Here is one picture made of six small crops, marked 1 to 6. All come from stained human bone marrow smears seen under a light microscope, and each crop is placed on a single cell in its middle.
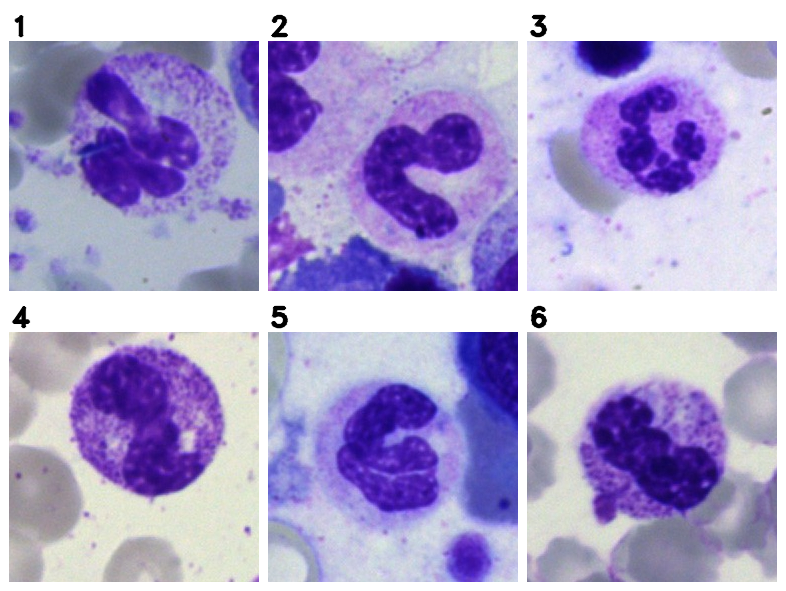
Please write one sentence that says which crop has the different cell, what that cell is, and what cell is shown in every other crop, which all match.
In this set, all crops show segmented neutrophils apart from crop 2, which is a band neutrophil.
